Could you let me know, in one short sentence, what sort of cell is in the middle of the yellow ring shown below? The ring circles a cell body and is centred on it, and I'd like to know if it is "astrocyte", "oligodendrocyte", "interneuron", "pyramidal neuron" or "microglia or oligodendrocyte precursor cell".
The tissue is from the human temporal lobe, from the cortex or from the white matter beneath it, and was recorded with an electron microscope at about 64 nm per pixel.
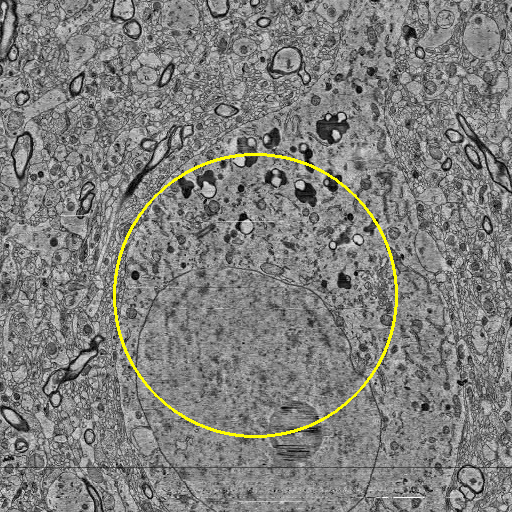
The ring circles the cell body of a pyramidal neuron.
